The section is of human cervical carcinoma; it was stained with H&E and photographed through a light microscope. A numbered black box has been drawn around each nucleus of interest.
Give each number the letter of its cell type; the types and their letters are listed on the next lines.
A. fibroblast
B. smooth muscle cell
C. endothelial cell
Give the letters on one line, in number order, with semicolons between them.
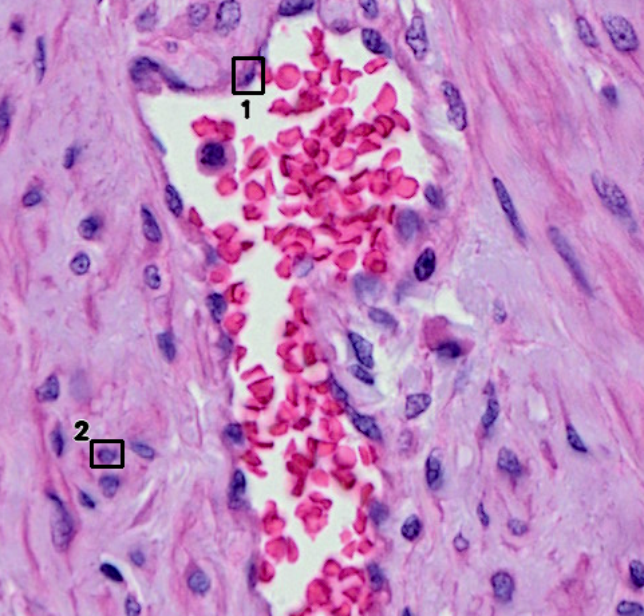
C; B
